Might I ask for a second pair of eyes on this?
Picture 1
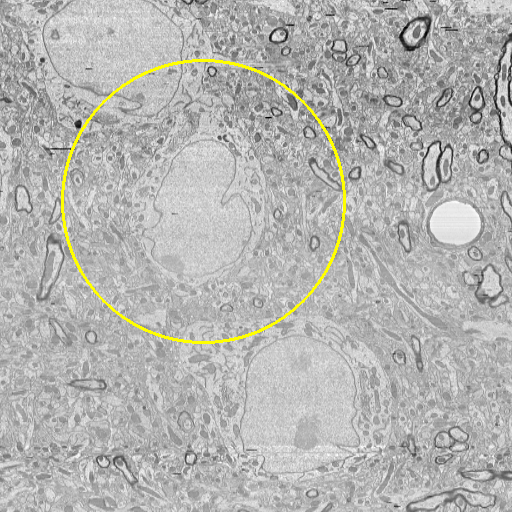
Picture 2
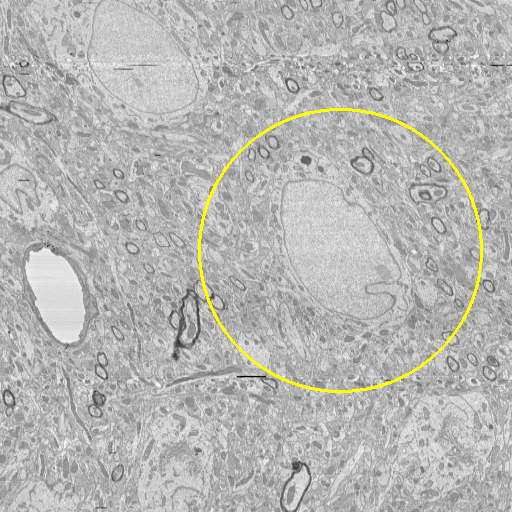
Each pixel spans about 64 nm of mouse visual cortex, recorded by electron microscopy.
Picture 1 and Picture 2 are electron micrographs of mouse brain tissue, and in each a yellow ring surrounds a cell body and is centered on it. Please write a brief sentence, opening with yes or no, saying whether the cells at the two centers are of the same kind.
Yes, the cells are of the same kind.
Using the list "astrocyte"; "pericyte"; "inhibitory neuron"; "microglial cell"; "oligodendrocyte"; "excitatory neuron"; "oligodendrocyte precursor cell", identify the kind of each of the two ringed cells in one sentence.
In both pictures the ring is centred on an excitatory neuron.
